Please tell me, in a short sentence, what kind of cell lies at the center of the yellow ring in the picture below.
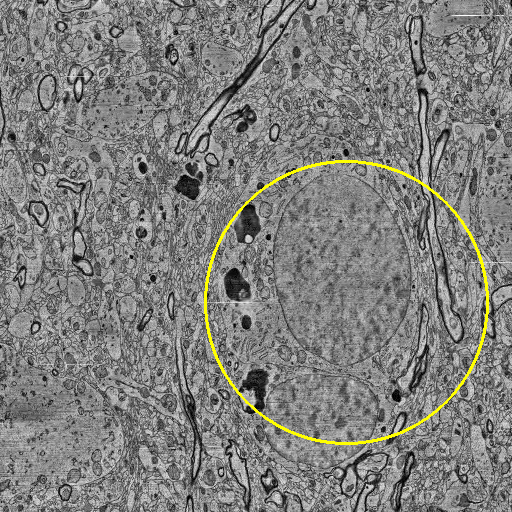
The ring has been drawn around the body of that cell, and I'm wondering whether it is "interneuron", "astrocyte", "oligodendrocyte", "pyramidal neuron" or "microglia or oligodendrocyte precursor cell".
The cell at the center of the ring is an interneuron.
